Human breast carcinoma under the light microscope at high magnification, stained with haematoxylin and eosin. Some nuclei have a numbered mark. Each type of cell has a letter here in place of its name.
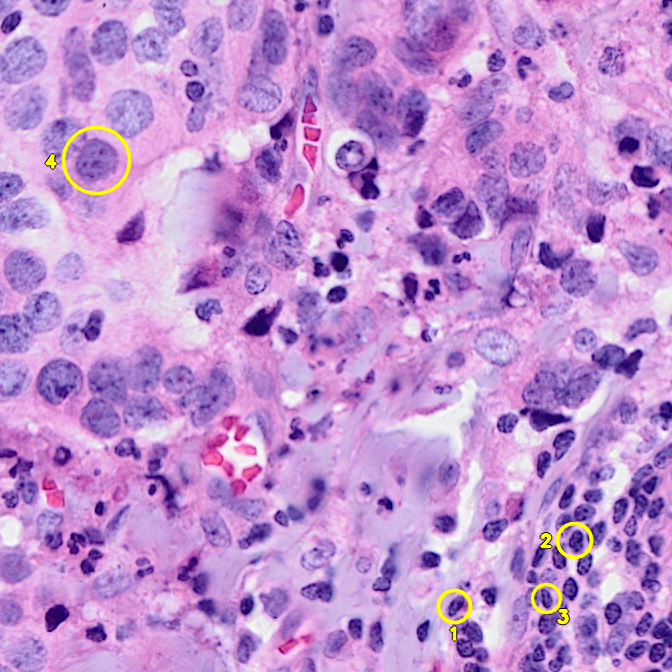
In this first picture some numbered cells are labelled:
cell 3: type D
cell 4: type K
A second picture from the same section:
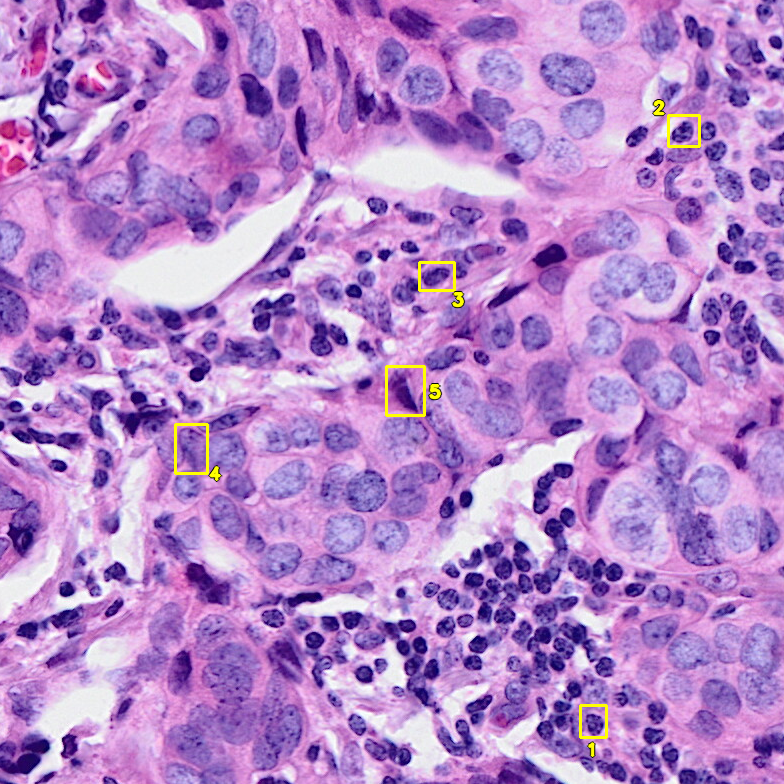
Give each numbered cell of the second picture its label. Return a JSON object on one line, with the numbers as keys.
{"1": "type D", "2": "type D", "3": "type D", "4": "type K", "5": "type K"}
